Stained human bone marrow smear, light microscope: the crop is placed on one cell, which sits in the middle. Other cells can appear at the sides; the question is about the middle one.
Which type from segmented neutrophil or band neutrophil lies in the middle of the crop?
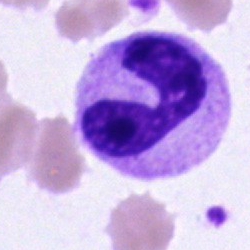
band neutrophil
